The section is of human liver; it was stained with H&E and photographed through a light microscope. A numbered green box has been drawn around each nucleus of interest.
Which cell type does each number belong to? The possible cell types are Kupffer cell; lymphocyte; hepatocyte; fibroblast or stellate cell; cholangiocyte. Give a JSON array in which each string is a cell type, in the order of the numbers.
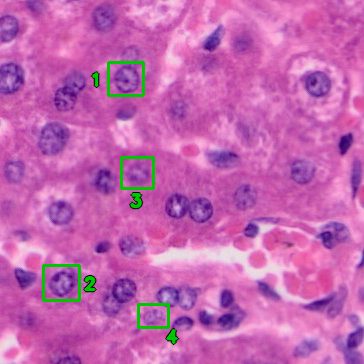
["hepatocyte", "hepatocyte", "hepatocyte", "cholangiocyte"]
